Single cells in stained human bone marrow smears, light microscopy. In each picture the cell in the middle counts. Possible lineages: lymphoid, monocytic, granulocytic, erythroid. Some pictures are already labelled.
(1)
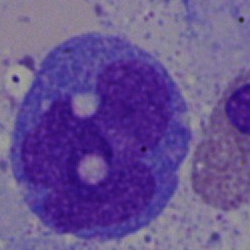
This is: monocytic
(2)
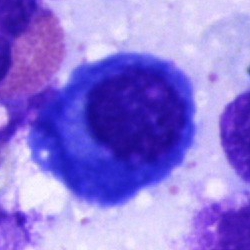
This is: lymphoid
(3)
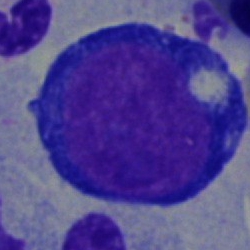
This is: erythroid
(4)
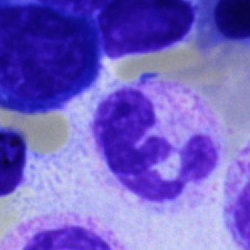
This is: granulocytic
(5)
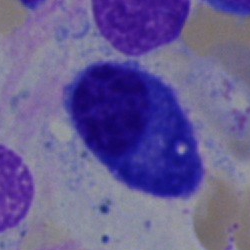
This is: lymphoid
